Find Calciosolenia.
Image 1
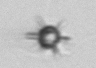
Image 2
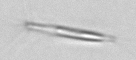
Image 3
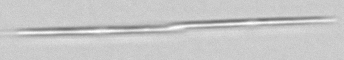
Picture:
2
